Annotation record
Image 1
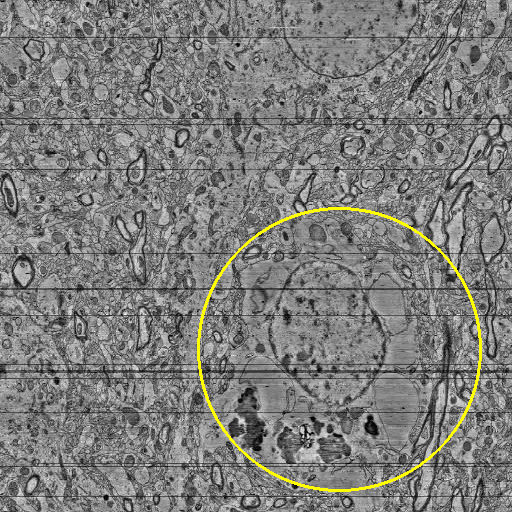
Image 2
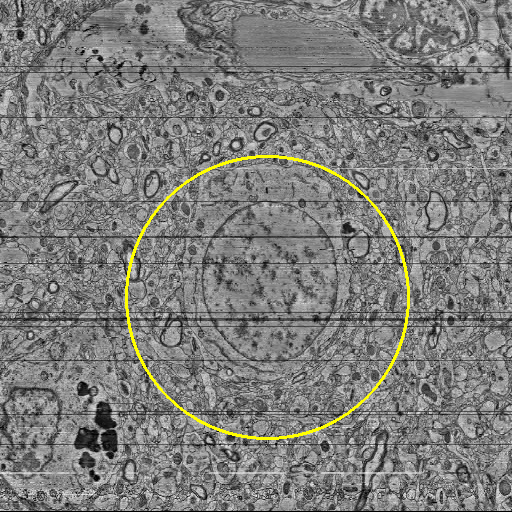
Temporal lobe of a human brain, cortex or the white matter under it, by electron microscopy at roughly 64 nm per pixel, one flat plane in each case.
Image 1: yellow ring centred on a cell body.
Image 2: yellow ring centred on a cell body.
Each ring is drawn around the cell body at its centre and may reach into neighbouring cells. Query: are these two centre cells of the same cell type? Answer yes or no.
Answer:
no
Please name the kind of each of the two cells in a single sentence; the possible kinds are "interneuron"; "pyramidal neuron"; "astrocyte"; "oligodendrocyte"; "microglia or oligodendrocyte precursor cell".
In the first picture the ring is centred on an astrocyte, and in the second on a pyramidal neuron.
